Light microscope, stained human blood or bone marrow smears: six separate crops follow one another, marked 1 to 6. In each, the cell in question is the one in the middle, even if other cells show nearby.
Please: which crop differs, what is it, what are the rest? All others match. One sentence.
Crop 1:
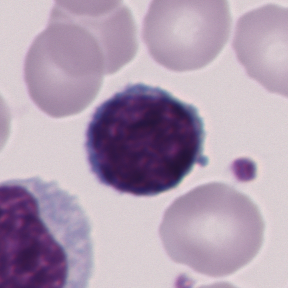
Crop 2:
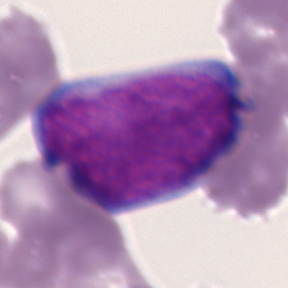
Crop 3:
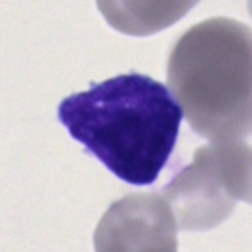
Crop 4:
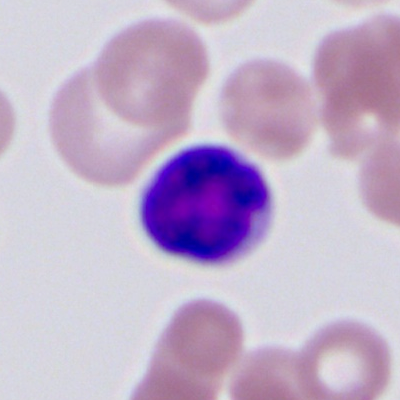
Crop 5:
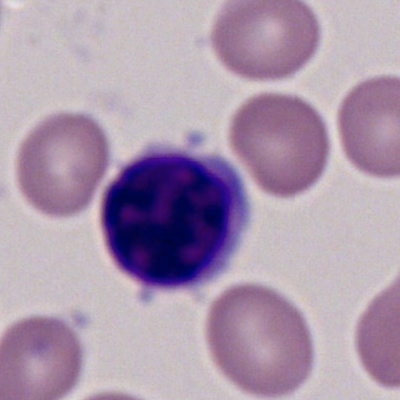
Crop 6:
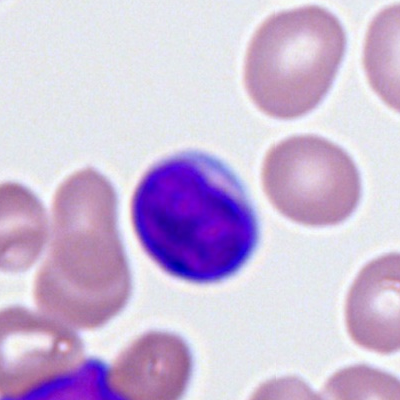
A different cell type, a blast, occupies crop 2; the other crops show lymphocytes.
